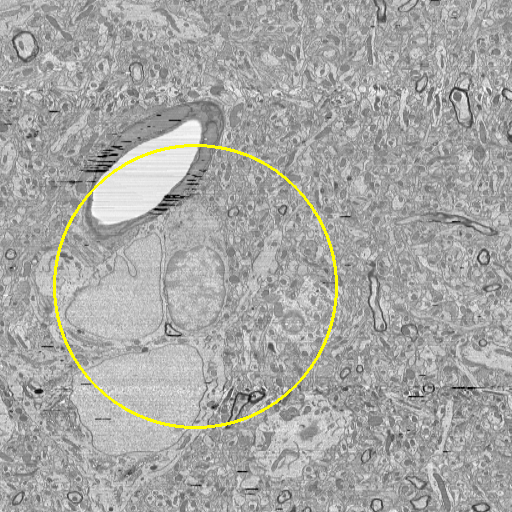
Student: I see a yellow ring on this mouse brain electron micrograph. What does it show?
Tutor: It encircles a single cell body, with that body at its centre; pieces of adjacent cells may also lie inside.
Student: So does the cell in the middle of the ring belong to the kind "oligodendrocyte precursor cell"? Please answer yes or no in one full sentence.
No, that cell at the centre of the ring is one of another kind.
